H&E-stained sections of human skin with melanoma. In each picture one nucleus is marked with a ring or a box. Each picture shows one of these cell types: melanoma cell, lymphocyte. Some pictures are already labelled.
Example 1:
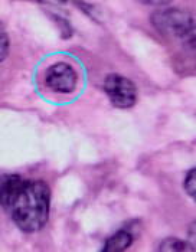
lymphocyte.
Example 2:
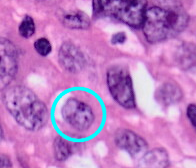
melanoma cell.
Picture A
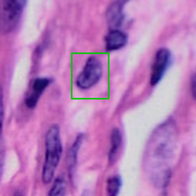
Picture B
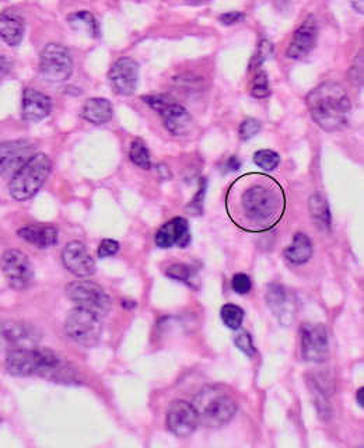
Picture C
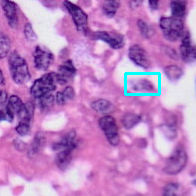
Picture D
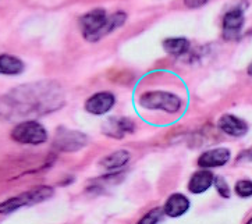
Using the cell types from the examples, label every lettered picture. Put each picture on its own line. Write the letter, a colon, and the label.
A: lymphocyte.
B: melanoma cell.
C: melanoma cell.
D: lymphocyte.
